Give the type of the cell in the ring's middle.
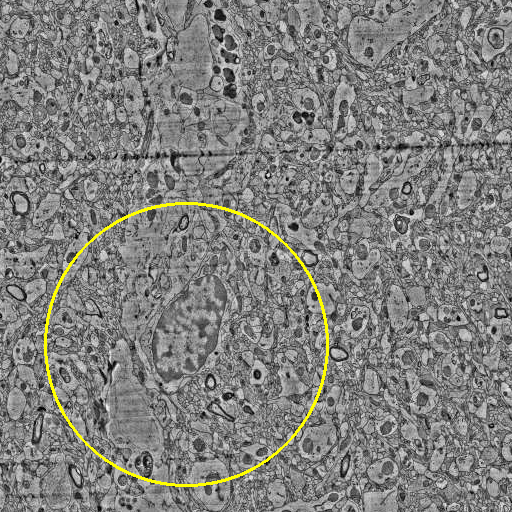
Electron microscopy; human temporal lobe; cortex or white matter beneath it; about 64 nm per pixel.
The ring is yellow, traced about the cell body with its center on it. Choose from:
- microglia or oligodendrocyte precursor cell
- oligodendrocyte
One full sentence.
Here, a microglial cell or oligodendrocyte precursor cell is the cell lying at the center of the yellow ring.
